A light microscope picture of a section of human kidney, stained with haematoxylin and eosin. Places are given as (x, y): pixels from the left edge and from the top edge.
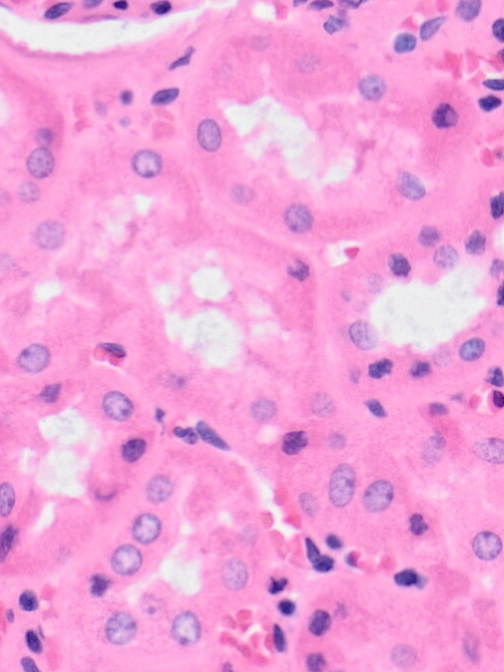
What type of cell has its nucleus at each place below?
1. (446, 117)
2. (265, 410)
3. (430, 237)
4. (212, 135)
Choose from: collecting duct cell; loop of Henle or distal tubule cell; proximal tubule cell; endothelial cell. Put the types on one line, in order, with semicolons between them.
proximal tubule cell; proximal tubule cell; loop of Henle or distal tubule cell; proximal tubule cell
